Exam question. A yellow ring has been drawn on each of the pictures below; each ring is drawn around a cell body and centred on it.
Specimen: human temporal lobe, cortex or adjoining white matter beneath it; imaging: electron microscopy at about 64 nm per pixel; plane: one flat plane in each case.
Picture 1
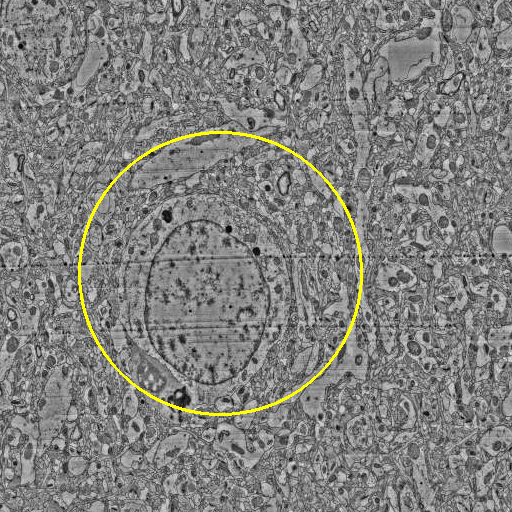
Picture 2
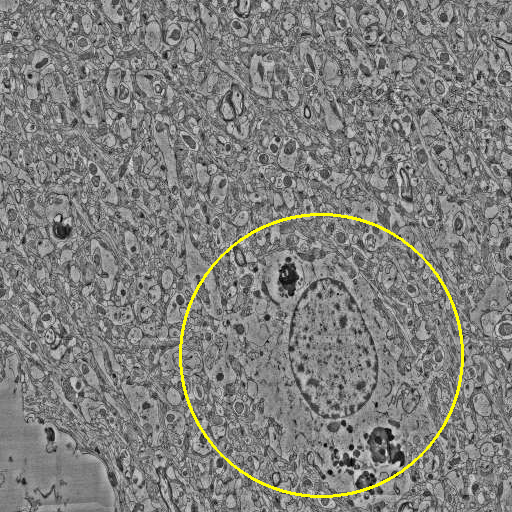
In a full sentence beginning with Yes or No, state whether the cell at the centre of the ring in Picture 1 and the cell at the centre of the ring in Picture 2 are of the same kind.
No, the cells are of two kinds.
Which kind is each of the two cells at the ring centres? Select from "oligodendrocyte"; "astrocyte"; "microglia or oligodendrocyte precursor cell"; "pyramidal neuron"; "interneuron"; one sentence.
The cell at the centre of the ring is a pyramidal neuron in the first picture and an astrocyte in the second.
